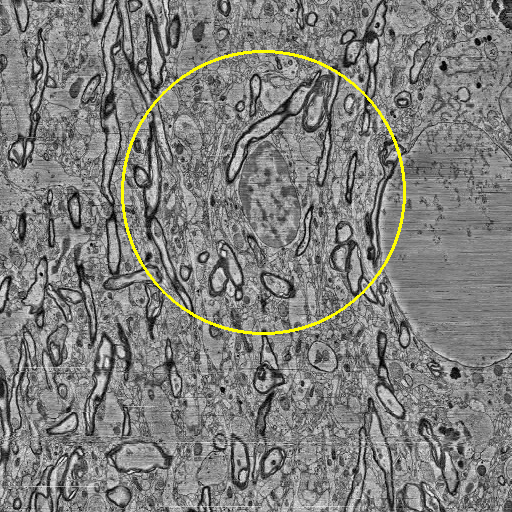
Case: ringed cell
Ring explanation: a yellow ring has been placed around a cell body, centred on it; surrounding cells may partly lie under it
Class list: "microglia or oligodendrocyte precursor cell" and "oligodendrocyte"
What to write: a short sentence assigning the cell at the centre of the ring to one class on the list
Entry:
The cell at the ring's centre is a microglial cell or oligodendrocyte precursor cell.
